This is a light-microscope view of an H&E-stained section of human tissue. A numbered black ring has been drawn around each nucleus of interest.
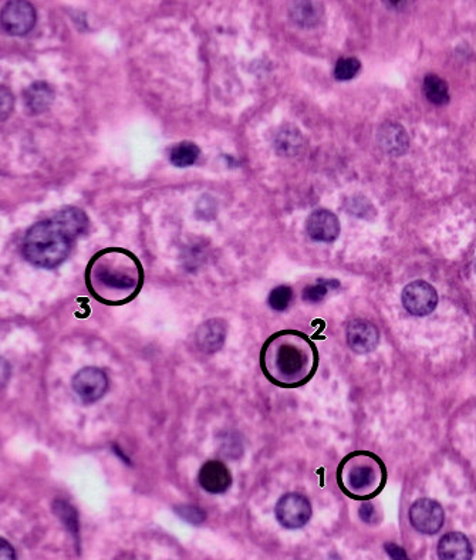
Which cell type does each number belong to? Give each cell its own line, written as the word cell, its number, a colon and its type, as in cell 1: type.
cell 1: lymphocyte
cell 2: hepatocyte
cell 3: fibroblast or stellate cell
